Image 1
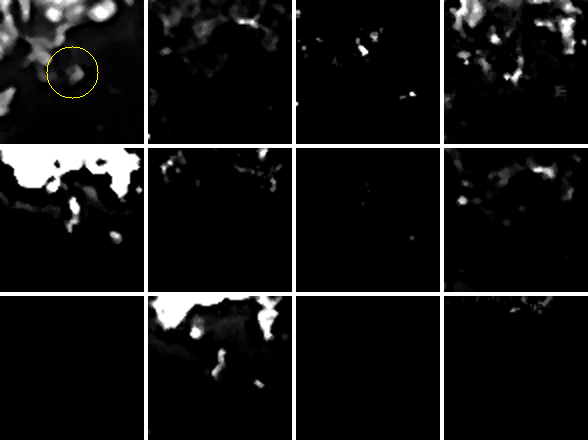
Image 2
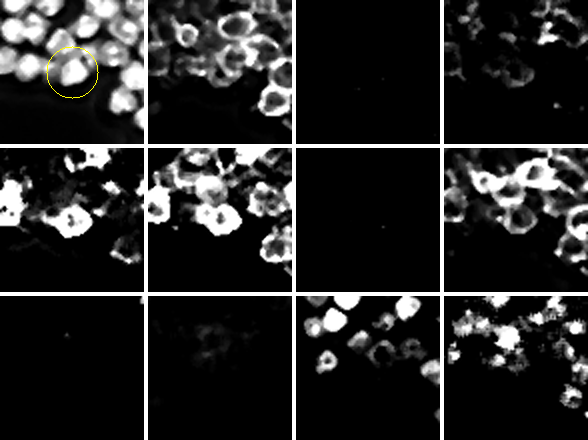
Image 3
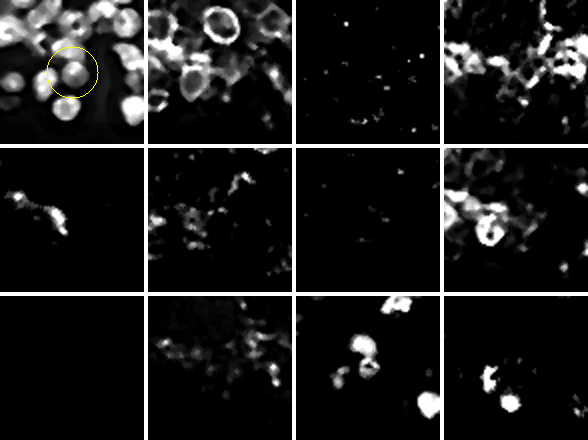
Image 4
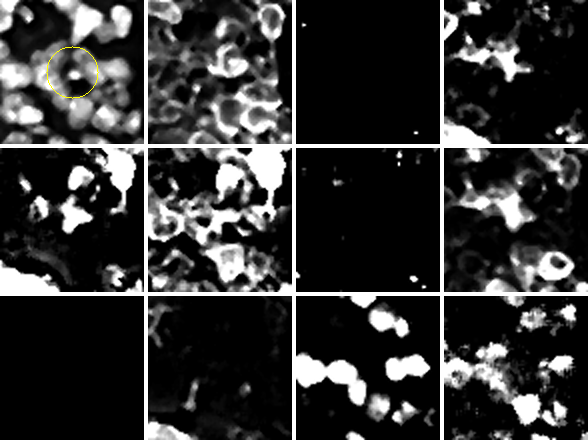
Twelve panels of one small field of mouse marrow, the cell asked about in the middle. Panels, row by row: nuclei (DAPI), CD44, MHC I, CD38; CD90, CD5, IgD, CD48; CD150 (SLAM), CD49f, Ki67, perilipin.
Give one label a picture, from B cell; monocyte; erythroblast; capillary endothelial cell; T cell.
Picture 1: capillary endothelial cell
Picture 2: T cell
Picture 3: erythroblast
Picture 4: T cell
